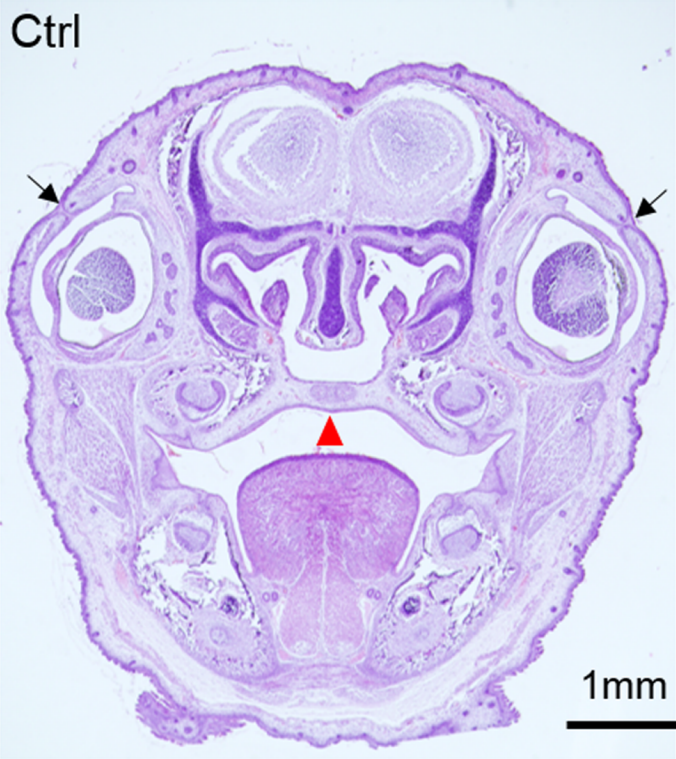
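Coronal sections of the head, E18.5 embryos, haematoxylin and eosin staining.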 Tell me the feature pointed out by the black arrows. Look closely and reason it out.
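Eyelids. The arrows point to thin folds of skin lying over the outer surface of each eye. The eyes, with lens and retina, lie just beneath the marked folds.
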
